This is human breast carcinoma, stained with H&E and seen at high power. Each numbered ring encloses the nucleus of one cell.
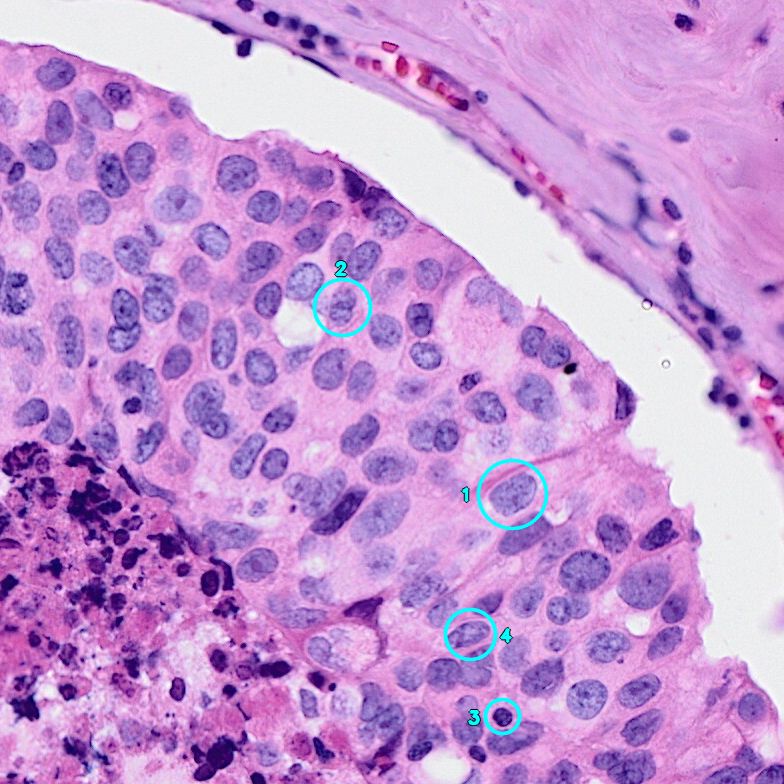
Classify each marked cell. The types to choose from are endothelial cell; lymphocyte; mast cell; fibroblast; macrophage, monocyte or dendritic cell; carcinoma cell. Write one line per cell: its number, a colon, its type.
1: carcinoma cell
2: carcinoma cell
3: lymphocyte
4: carcinoma cell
